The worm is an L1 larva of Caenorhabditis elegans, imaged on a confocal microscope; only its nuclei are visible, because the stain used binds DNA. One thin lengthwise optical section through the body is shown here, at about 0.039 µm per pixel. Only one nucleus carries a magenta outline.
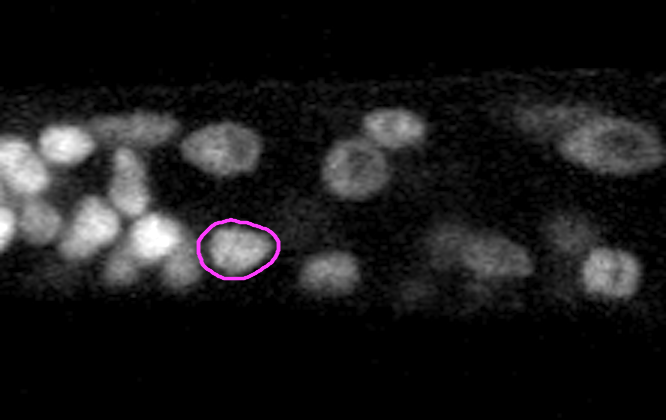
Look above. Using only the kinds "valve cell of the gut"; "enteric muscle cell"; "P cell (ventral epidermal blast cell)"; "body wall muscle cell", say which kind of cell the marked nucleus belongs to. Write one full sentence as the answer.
The marked nucleus belongs to an enteric muscle cell.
